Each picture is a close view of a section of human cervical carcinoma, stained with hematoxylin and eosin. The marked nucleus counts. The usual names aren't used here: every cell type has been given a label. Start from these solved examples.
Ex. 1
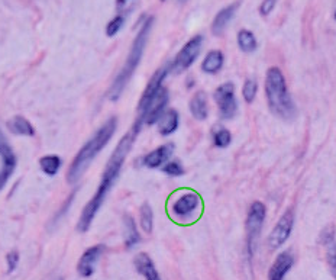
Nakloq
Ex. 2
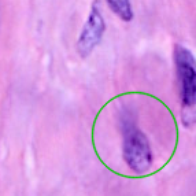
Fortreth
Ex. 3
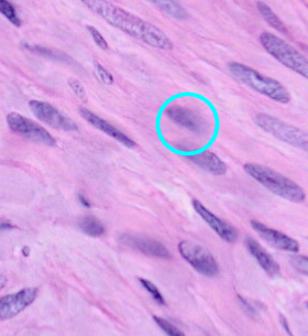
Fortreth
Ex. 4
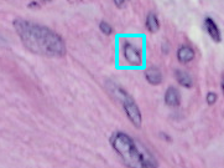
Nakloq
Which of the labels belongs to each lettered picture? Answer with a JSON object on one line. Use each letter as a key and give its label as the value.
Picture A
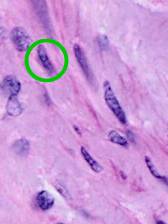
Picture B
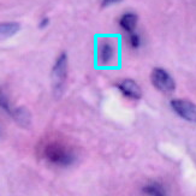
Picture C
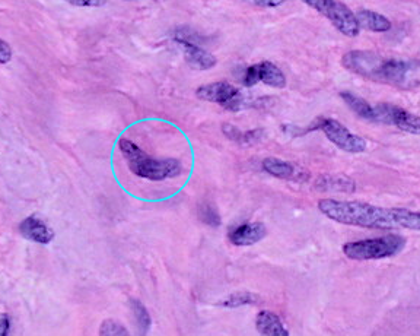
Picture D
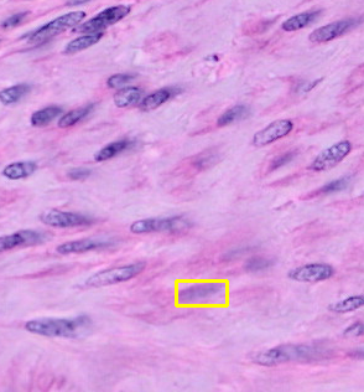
{"A": "Nakloq", "B": "Fortreth", "C": "Fortreth", "D": "Nakloq"}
